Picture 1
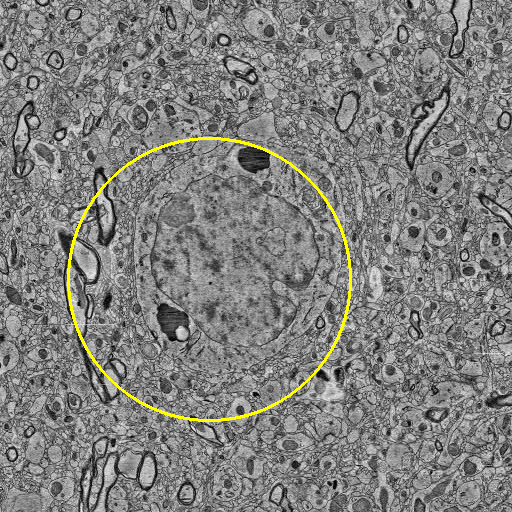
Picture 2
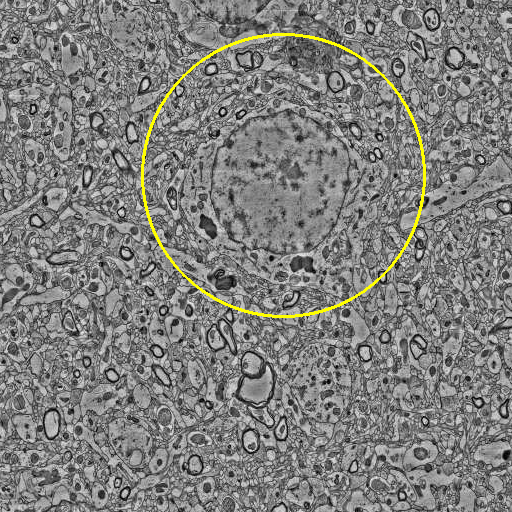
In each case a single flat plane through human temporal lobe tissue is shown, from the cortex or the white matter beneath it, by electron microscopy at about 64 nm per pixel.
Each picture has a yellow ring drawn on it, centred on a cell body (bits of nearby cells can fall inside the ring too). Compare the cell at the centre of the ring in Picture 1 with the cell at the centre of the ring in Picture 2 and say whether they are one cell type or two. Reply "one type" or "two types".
one type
